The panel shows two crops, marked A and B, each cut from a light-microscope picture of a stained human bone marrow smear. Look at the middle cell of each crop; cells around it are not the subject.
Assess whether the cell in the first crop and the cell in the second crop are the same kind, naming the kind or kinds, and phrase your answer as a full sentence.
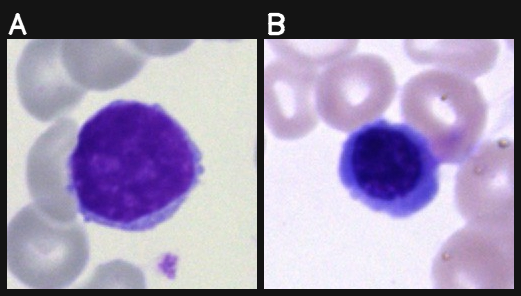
No, the cell in crop A is a lymphocyte, and the cell in crop B is a normoblast.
